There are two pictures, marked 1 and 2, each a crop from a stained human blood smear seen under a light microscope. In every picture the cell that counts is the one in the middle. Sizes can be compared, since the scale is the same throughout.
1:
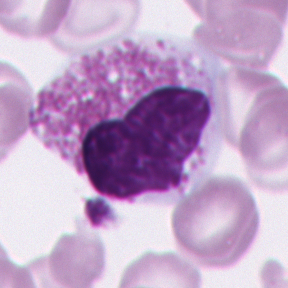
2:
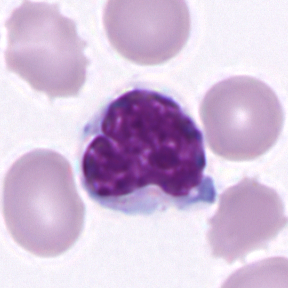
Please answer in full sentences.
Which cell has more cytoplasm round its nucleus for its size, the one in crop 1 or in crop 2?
Of the two, the nucleus in crop 1 leaves more room for cytoplasm.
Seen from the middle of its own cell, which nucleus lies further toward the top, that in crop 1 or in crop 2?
Seen within its cell, the nucleus in crop 2 lies further toward the top.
